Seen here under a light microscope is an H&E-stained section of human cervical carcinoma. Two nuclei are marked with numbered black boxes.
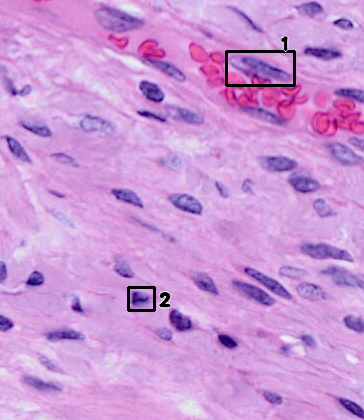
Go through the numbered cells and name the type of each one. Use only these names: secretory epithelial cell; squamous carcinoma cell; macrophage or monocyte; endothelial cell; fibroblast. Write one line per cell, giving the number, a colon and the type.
1: endothelial cell
2: fibroblast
